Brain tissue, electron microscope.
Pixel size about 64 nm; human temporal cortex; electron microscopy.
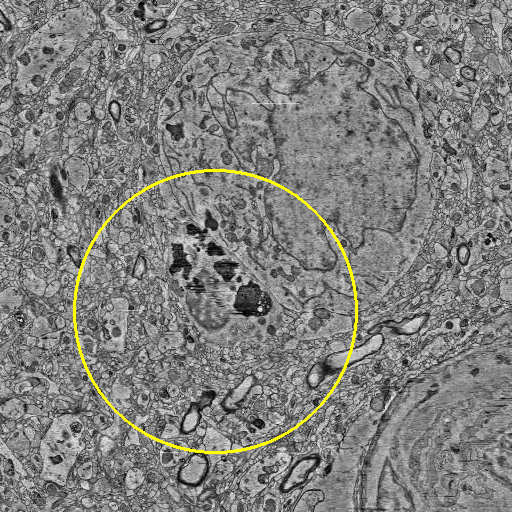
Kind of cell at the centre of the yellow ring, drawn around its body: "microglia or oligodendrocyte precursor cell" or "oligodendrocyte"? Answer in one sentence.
The ring's centre falls on an oligodendrocyte.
